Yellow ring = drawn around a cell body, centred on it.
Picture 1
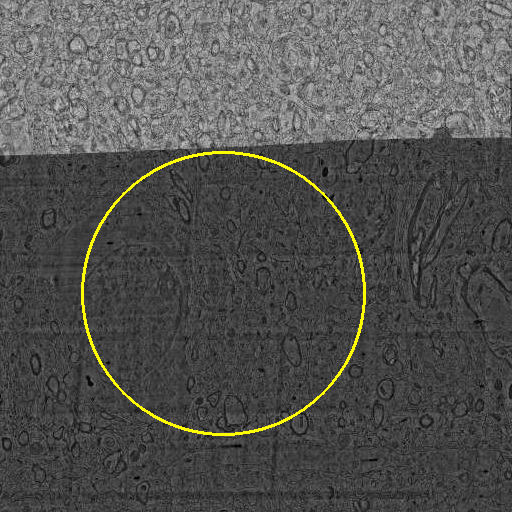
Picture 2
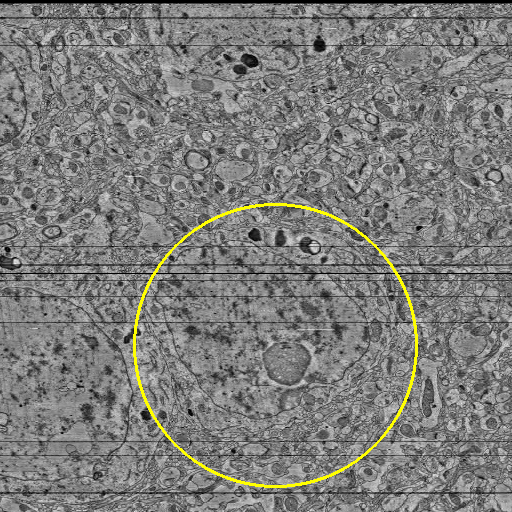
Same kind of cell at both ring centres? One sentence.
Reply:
No, they are two kinds of cell.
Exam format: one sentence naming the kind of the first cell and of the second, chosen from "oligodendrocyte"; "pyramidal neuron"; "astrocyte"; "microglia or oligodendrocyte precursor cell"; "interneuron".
The first picture's cell is an astrocyte, and the second picture's cell is a pyramidal neuron.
